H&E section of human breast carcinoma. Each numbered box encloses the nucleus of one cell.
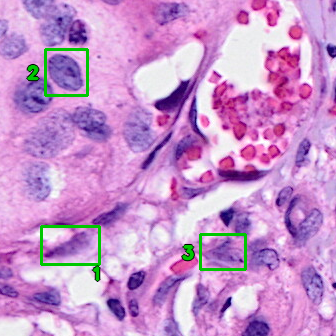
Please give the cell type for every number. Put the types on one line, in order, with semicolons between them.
fibroblast; carcinoma cell; endothelial cell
